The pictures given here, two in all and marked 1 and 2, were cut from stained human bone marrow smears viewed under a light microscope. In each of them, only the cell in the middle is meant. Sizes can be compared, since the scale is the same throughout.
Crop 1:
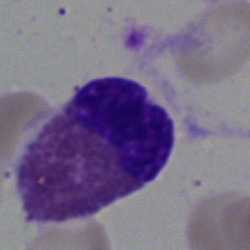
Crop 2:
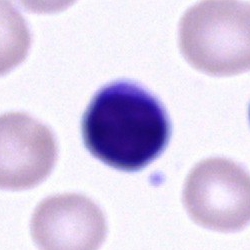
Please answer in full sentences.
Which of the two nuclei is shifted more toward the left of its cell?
Seen within its cell, the nucleus in crop 2 lies further toward the left.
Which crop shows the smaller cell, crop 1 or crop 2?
The cell in crop 2 is smaller; the one in crop 1 has about 2.5 times its area.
